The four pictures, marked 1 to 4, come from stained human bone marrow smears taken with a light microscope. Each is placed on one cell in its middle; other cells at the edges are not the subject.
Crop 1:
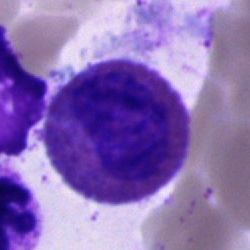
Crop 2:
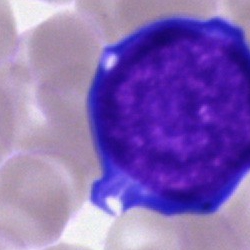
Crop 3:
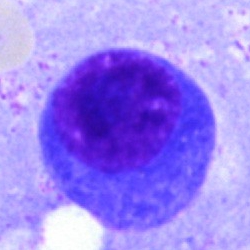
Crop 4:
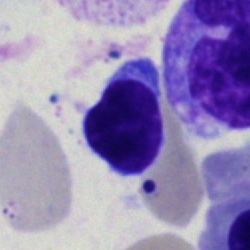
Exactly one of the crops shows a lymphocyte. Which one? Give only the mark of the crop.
4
